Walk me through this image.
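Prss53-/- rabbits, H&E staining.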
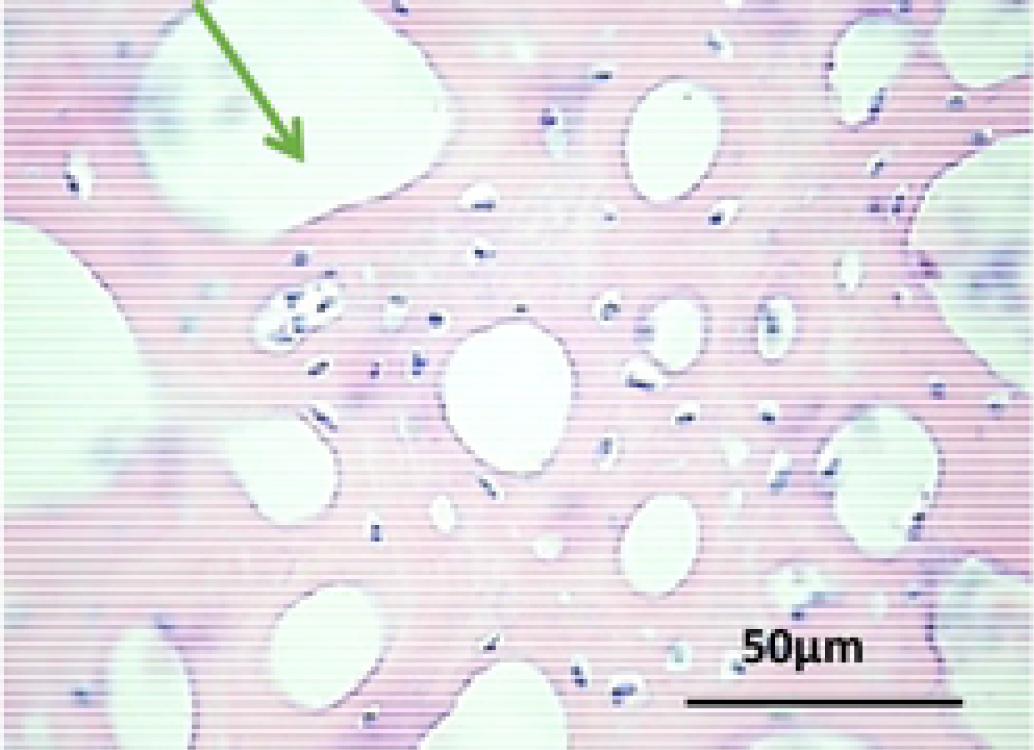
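Pale pink bone matrix is interrupted by many rounded, largely empty spaces of varying size. Small dark nuclei are scattered through the matrix, but the edges of the spaces carry few lining osteoblasts. The spaces appear clear, with only occasional cells inside them.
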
